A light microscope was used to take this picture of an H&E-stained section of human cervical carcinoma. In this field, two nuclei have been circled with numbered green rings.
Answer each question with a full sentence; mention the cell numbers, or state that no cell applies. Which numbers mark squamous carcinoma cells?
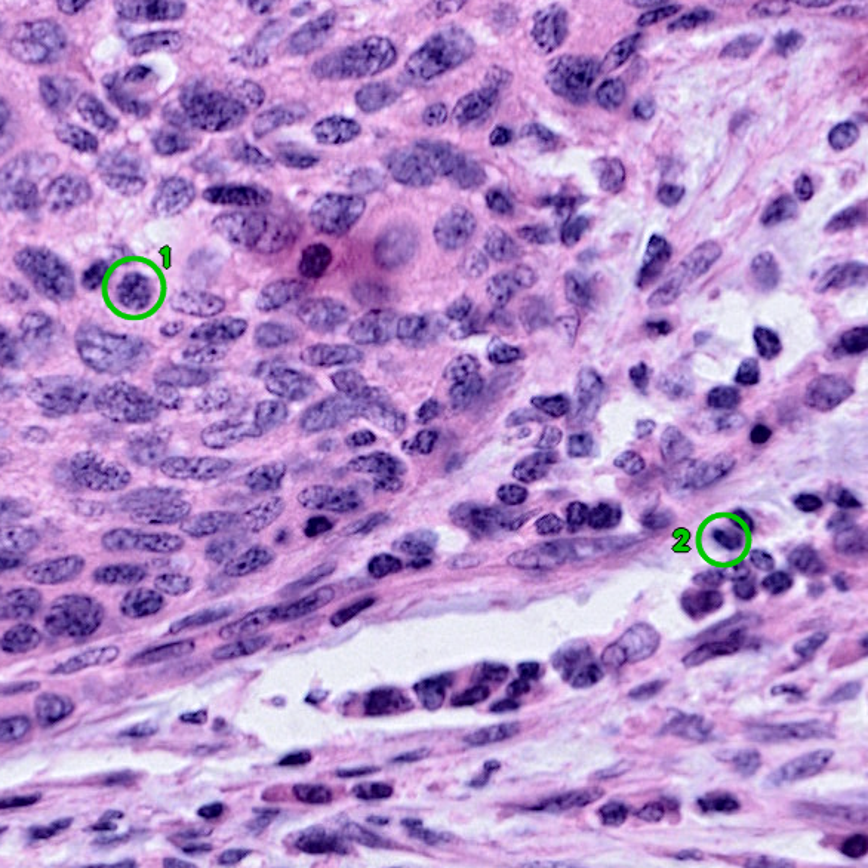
Among the numbered nuclei, only the one labelled 1 belongs to a squamous carcinoma cell.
